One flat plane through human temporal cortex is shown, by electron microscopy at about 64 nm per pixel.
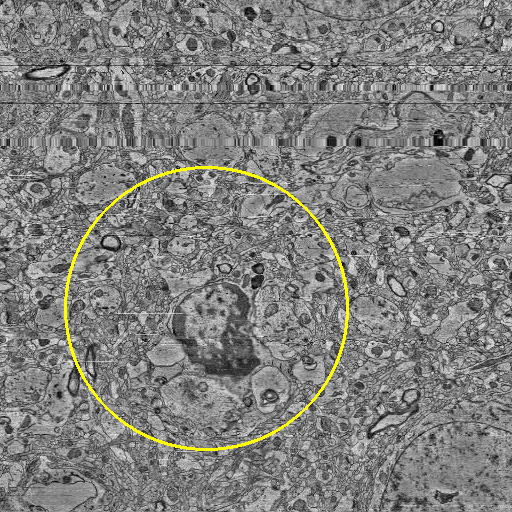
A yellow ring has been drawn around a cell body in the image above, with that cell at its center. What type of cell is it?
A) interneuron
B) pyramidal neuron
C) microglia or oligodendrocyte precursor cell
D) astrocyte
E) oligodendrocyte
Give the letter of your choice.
C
